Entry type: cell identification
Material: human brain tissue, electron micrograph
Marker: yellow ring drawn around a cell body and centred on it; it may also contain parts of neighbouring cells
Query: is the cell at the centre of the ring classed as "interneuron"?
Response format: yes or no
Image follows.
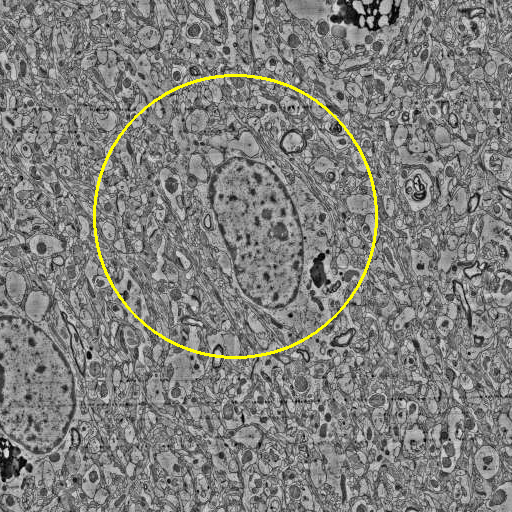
no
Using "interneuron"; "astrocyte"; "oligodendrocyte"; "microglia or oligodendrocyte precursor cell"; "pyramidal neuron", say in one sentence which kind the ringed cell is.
At the centre of the ring sits an astrocyte.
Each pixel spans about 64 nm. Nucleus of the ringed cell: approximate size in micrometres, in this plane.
In this plane the nucleus measures roughly 10 by 5 micrometres.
